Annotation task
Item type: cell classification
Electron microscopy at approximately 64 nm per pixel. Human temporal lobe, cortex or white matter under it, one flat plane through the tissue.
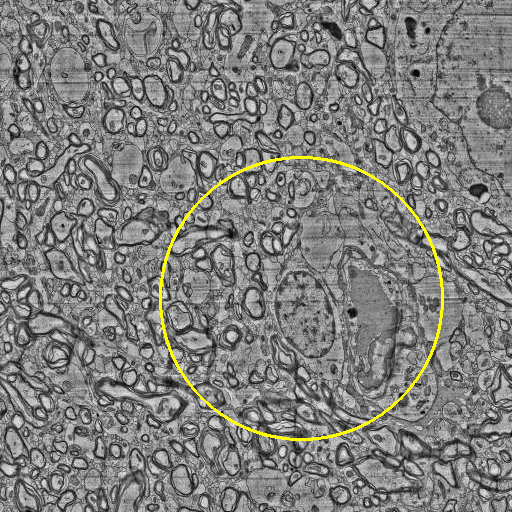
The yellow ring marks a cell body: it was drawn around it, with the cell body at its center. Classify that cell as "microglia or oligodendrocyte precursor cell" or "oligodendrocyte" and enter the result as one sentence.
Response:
The ring's center falls on a microglial cell or oligodendrocyte precursor cell.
